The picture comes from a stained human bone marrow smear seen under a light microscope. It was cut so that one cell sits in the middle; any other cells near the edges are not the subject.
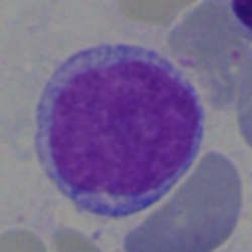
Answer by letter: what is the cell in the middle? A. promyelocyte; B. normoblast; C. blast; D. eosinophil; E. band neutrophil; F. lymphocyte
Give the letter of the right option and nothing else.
C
